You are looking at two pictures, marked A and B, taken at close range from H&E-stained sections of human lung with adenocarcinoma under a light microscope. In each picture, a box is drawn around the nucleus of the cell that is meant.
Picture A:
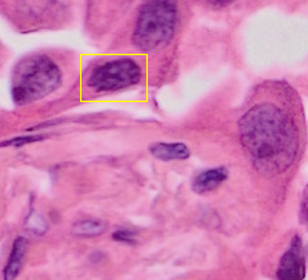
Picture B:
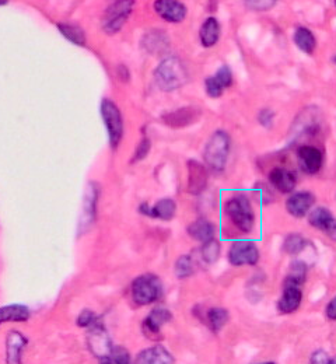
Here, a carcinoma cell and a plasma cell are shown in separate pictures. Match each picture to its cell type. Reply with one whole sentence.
In picture A the cell is a carcinoma cell; in picture B, a plasma cell.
